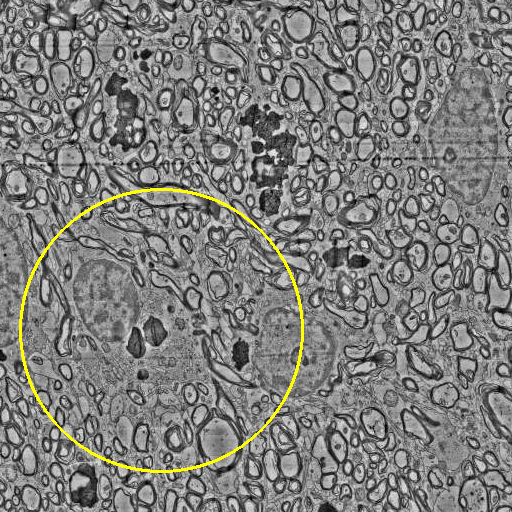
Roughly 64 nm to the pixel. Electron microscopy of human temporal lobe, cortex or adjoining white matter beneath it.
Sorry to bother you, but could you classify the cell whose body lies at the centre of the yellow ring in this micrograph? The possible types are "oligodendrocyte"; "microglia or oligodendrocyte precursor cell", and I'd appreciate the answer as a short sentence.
The ringed cell body is that of an oligodendrocyte.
